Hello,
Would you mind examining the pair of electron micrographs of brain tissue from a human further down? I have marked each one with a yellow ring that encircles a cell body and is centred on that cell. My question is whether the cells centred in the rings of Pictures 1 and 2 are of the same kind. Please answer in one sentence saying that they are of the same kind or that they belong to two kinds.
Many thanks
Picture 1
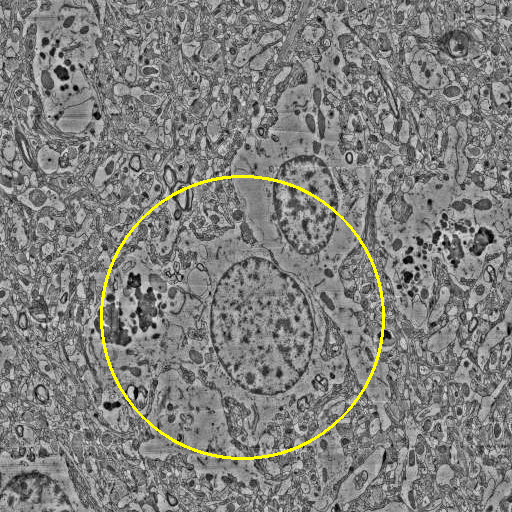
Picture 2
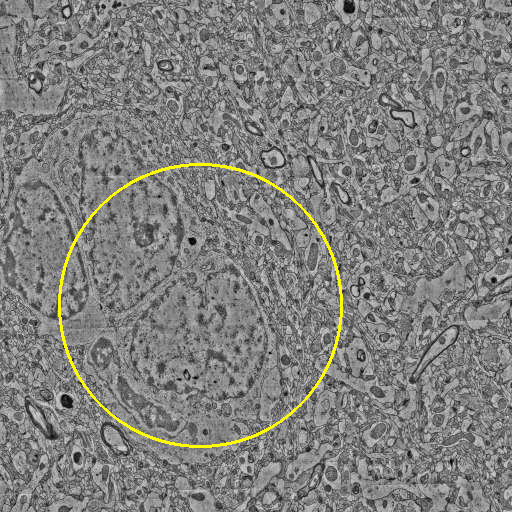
In Pictures 1 and 2, the cells at the heart of the rings belong to two kinds.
